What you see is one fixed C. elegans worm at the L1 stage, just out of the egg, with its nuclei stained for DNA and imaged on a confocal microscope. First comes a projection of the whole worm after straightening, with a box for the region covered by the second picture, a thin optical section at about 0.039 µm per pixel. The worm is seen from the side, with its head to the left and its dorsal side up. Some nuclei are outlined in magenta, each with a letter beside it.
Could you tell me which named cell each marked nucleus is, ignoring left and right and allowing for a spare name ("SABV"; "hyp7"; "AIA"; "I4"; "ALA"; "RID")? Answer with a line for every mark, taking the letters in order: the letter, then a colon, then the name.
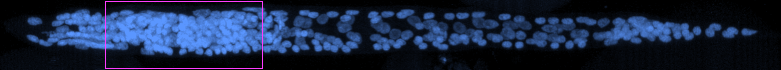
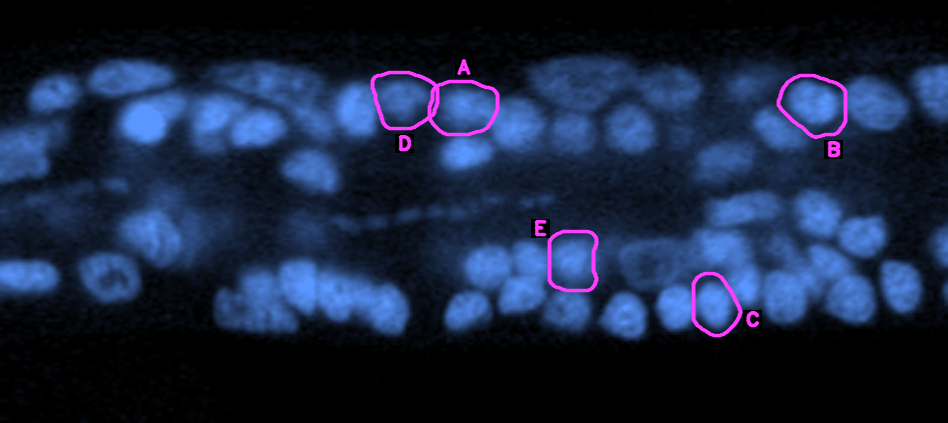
A: ALA
B: I4
C: SABV
D: RID
E: AIA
